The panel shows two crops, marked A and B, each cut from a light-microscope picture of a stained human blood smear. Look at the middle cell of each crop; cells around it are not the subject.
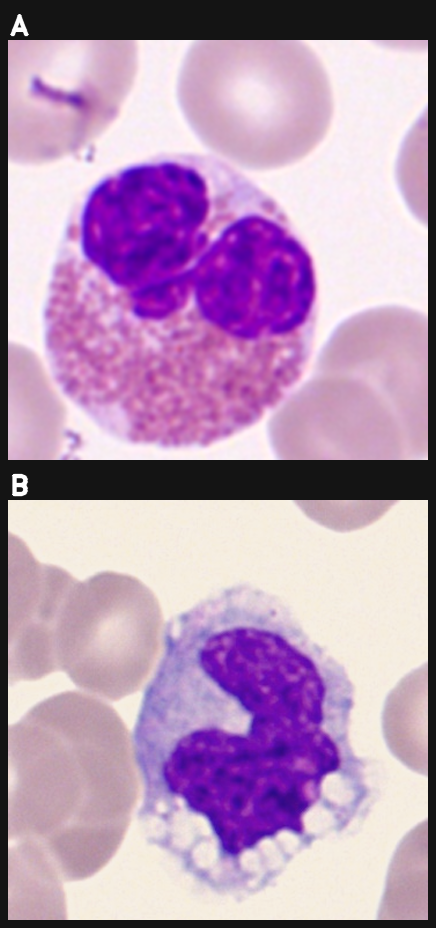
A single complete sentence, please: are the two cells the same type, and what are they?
No, enter an eosinophil for crop A and a monocyte for crop B.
